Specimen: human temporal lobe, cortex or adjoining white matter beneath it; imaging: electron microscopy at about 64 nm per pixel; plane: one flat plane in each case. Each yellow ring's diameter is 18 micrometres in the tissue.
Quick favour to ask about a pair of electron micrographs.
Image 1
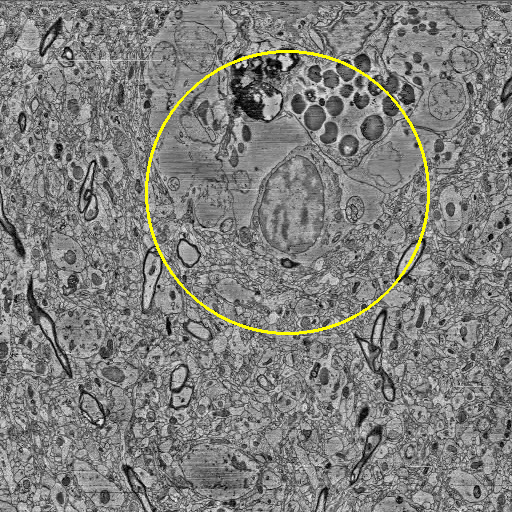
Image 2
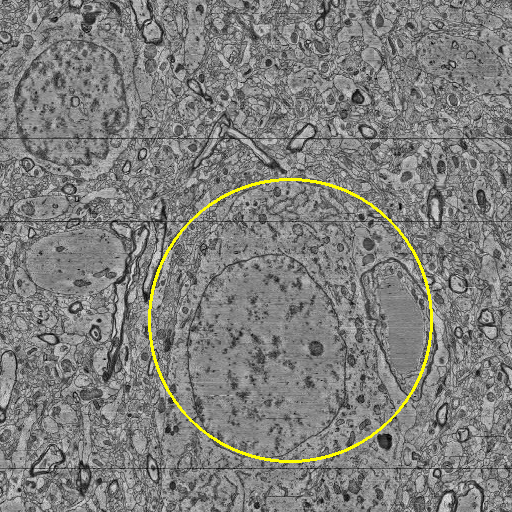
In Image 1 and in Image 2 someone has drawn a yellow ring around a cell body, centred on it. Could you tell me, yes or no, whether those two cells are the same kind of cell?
no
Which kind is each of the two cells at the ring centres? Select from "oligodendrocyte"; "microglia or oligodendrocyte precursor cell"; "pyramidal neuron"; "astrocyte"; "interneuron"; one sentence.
The cell at the centre of the ring is an oligodendrocyte in the first picture and a pyramidal neuron in the second.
